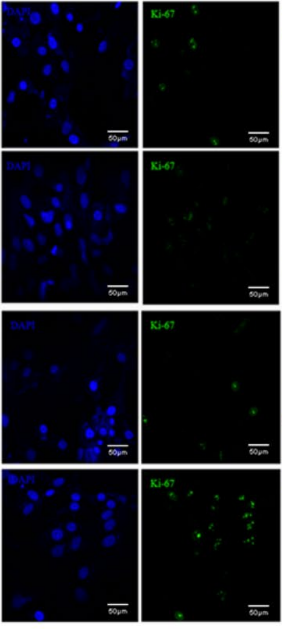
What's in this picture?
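The cytoplasm is not stained, so each cell is known only by its nucleus. Only a share of the nuclei carry the green dots, and in the bottom row many more nuclei are dotted with green than in the rows above.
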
